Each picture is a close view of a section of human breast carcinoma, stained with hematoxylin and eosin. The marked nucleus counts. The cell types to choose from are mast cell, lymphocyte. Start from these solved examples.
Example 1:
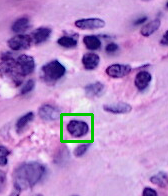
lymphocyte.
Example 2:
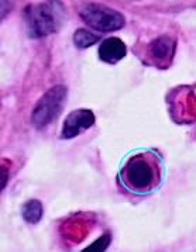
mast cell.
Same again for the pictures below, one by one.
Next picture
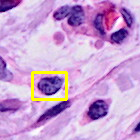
mast cell.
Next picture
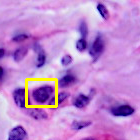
lymphocyte.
